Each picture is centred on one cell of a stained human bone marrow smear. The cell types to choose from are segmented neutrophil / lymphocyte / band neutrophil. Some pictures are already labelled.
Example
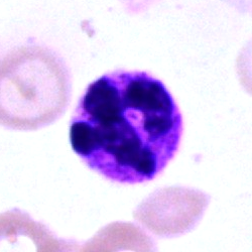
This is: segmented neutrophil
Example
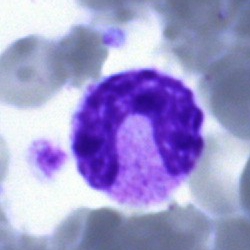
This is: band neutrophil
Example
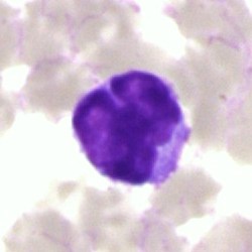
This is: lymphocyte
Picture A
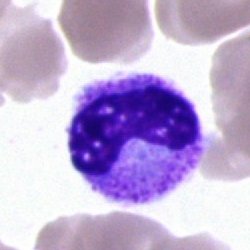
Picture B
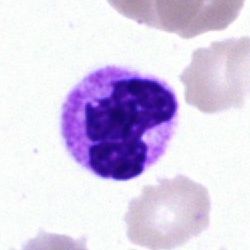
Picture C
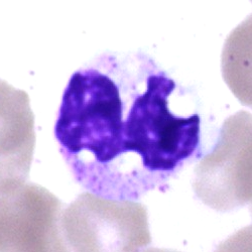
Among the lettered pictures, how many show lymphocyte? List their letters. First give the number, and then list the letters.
0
